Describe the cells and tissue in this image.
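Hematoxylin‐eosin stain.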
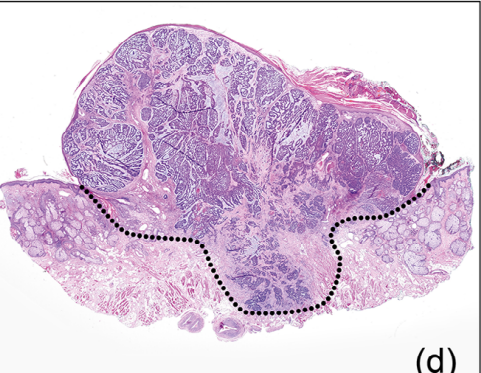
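A low-power section of excised skin shows a large tumor made of many closely packed lobules and nests of dark purple, densely nucleated cells. Pink fibrous stroma runs between the lobules. The mass bulges well above the surrounding skin surface and extends down into the deeper tissue, where a narrower tongue of tumor nests reaches toward the base of the specimen. A black dotted line is drawn along the deep border of the tumor. At both sides, the adjacent skin contains pale, lobulated glandular structures in pink connective tissue. Pink stroma lies between the tumor and the lateral and deep cut edges.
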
